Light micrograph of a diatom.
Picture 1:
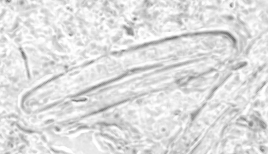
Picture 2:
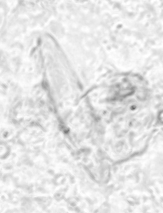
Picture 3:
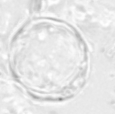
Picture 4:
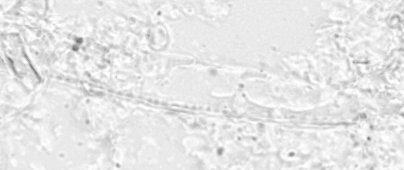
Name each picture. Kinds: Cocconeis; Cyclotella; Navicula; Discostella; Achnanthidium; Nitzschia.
Picture 1: Achnanthidium
Picture 2: Achnanthidium
Picture 3: Discostella
Picture 4: Nitzschia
